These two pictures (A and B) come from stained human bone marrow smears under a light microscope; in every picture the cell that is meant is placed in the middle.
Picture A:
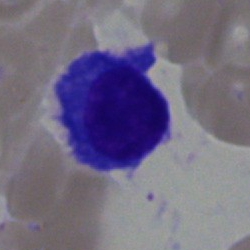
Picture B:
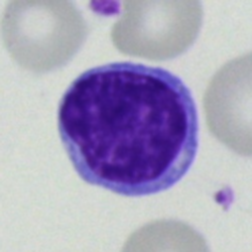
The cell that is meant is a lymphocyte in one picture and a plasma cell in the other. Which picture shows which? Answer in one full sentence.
In picture A the cell is a plasma cell; in picture B, a lymphocyte.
